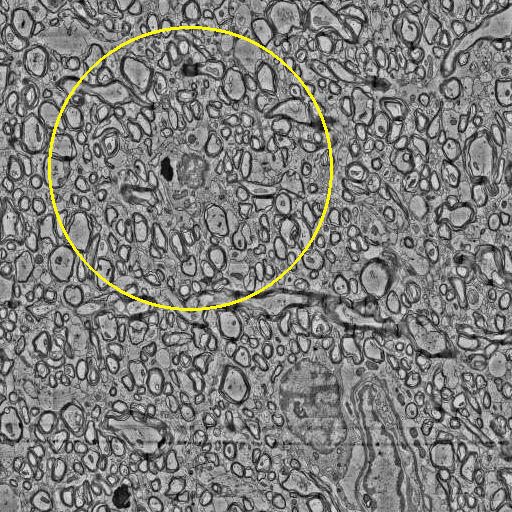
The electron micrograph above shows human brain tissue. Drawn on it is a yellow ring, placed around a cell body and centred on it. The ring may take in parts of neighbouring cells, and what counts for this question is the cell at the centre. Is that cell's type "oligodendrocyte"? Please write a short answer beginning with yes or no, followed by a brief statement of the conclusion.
Yes, its type is the one named.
